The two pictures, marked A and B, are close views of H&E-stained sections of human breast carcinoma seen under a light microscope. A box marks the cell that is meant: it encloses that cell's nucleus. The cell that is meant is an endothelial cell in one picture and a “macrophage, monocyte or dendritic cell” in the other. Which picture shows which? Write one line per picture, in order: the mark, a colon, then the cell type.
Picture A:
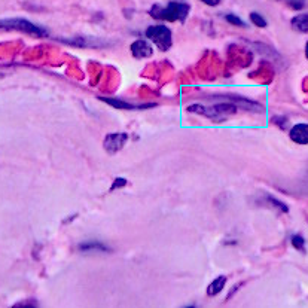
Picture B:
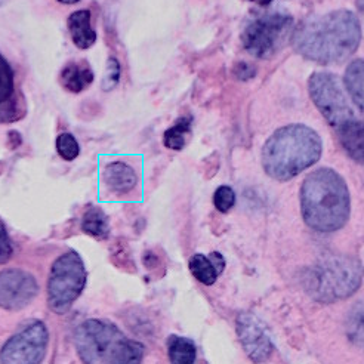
A: endothelial cell
B: macrophage, monocyte or dendritic cell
